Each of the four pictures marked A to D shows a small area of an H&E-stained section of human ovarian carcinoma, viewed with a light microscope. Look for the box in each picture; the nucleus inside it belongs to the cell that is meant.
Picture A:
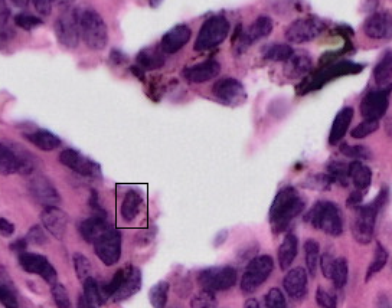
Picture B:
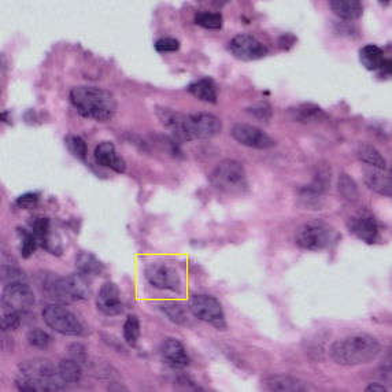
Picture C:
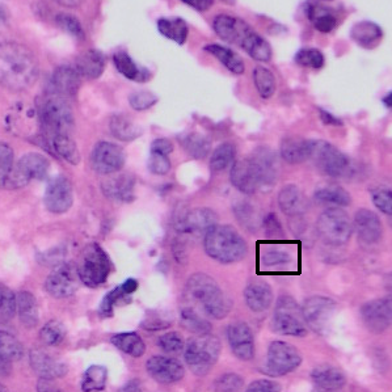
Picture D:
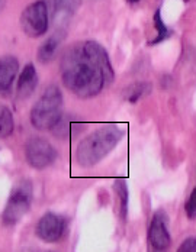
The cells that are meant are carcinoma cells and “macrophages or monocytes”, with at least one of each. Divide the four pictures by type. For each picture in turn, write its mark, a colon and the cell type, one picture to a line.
A: macrophage or monocyte
B: macrophage or monocyte
C: macrophage or monocyte
D: carcinoma cell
